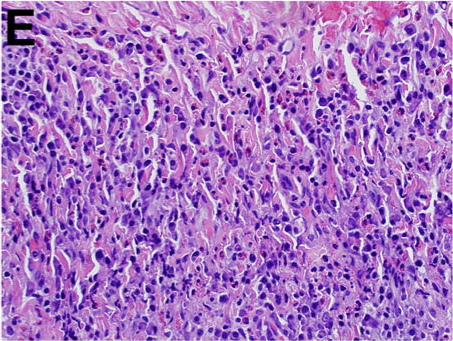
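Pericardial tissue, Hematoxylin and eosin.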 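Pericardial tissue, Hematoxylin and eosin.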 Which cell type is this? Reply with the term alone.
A: Eosinophils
